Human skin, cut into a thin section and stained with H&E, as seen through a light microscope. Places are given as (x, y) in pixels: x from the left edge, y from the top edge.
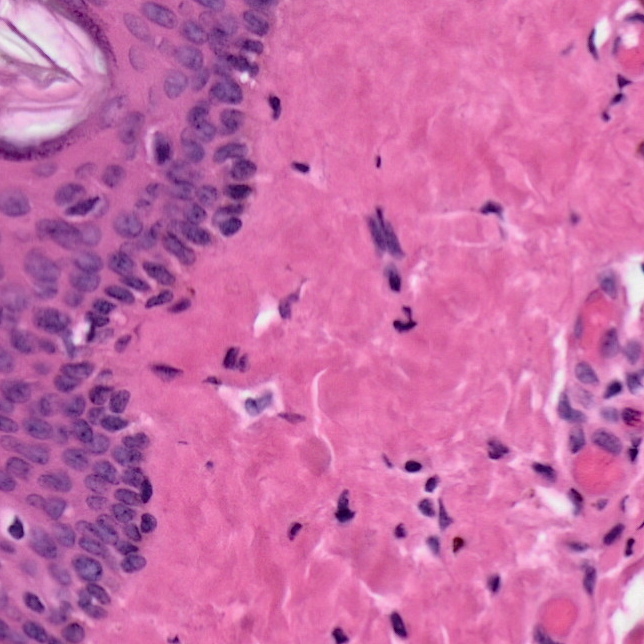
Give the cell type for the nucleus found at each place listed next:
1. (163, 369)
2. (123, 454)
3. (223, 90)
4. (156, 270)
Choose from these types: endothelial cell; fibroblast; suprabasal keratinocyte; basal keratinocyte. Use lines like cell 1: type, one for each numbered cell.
cell 1: fibroblast
cell 2: basal keratinocyte
cell 3: basal keratinocyte
cell 4: basal keratinocyte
